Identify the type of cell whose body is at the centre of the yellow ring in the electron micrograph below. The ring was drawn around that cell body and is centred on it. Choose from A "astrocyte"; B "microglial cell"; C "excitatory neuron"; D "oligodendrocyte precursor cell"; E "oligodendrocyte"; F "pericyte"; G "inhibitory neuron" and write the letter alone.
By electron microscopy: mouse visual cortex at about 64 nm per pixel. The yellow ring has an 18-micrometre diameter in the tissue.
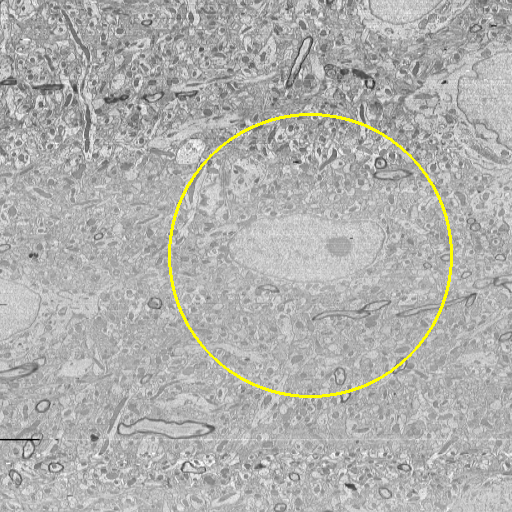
A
